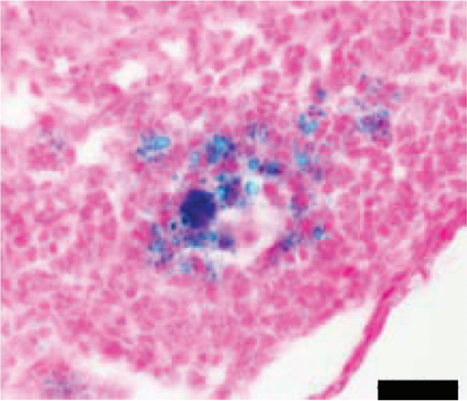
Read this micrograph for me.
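Near the centre lies a small follicle-like cluster around a pale central space, and blue granules and clumps are concentrated in and around it, with one dark blue mass at its edge. Scattered blue specks also appear in cells a little further out from this cluster. The rest of the tissue, including the thin capsule-like layer at the lower right, stays pink.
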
